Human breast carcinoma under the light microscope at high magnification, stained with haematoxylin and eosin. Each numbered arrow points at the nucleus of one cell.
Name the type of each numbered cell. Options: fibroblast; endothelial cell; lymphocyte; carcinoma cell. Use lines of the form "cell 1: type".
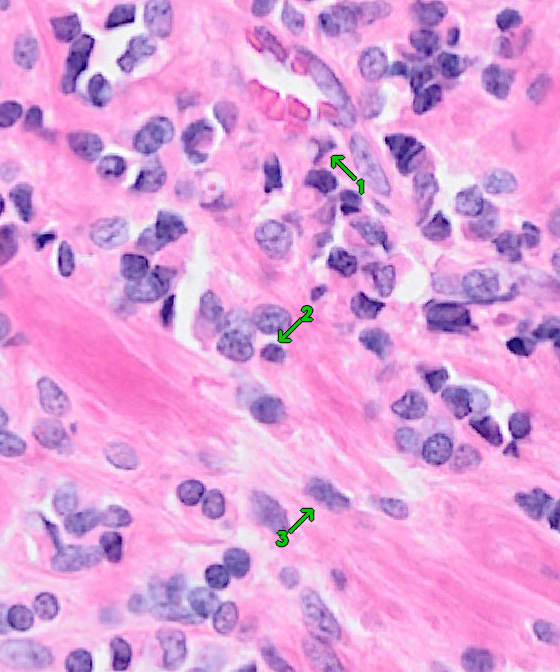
cell 1: endothelial cell
cell 2: carcinoma cell
cell 3: fibroblast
